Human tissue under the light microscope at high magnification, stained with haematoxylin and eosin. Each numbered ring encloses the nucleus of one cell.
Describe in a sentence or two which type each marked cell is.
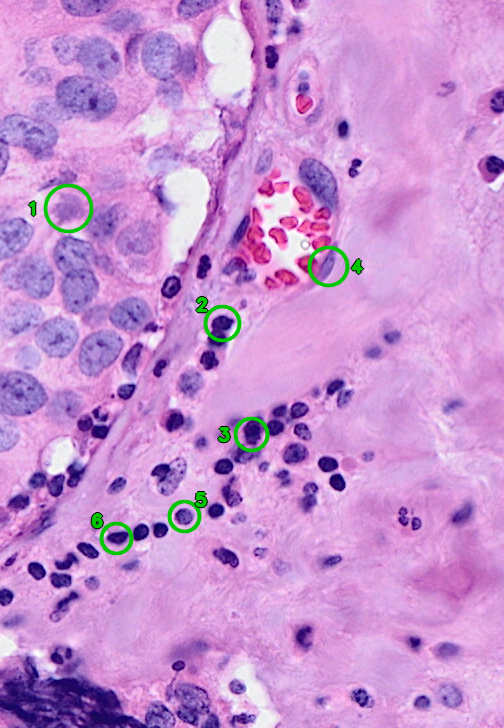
Cell 1 is a carcinoma cell. Cells 2, 3, 5 and 6 are lymphocytes. Cell 4 is an endothelial cell.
